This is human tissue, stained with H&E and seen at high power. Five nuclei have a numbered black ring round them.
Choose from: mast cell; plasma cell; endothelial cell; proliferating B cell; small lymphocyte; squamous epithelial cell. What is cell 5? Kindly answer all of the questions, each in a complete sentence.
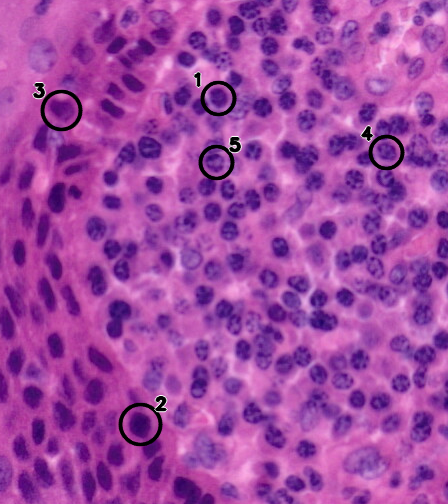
Within this field of view, the cell labelled 5 is a plasma cell.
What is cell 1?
The cell assigned the number 1 is a plasma cell.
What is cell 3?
Among the marked nuclei, number 3 belongs to a squamous epithelial cell.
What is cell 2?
The nucleus marked 2 is the nucleus of a squamous epithelial cell.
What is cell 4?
The correct label for cell 4 is a plasma cell.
